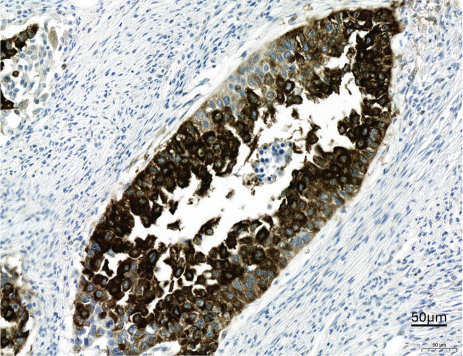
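The tumour cells lining the nest are polygonal, with abundant cytoplasm that is stained intense dark brown, while many of their nuclei remain pale or bluish and unstained. The centre of the nest is a cleft-like space containing loose cells and debris. The surrounding stroma consists of wavy, elongated fibroblast-like cells with slender blue nuclei and no brown colour. The staining is thus cytoplasmic in the tumour cells and sharply limited to the nest.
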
